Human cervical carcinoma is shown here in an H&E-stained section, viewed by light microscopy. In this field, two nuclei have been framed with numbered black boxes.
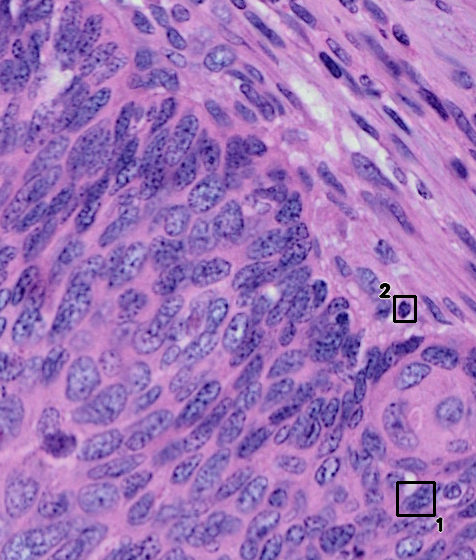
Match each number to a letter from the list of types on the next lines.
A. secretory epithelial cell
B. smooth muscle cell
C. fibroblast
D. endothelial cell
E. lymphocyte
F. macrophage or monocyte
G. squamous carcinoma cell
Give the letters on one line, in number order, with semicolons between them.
G; E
